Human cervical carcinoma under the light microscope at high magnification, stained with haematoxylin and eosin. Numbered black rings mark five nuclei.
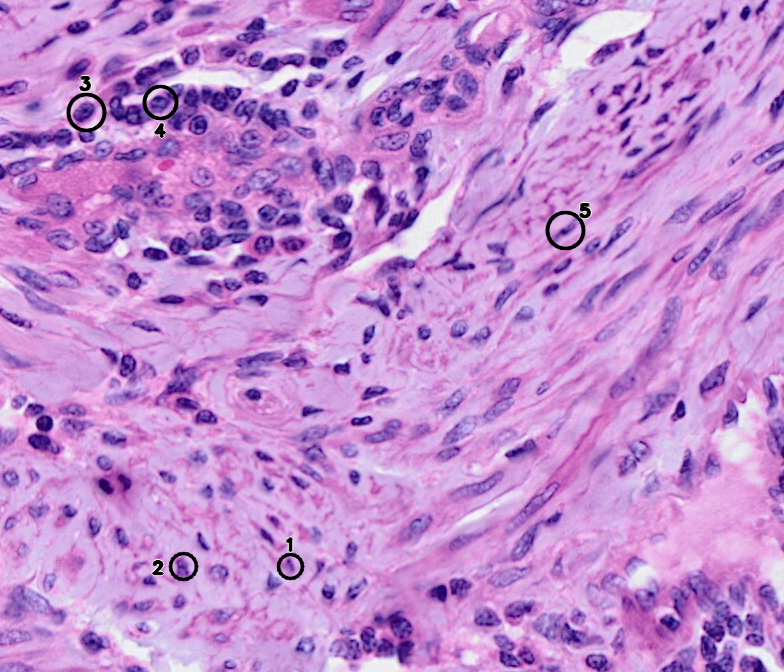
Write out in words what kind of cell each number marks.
Cell 1 is a smooth muscle cell, cell 2 is a smooth muscle cell, cell 3 is a lymphocyte, cell 4 is a lymphocyte and cell 5 is a smooth muscle cell.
